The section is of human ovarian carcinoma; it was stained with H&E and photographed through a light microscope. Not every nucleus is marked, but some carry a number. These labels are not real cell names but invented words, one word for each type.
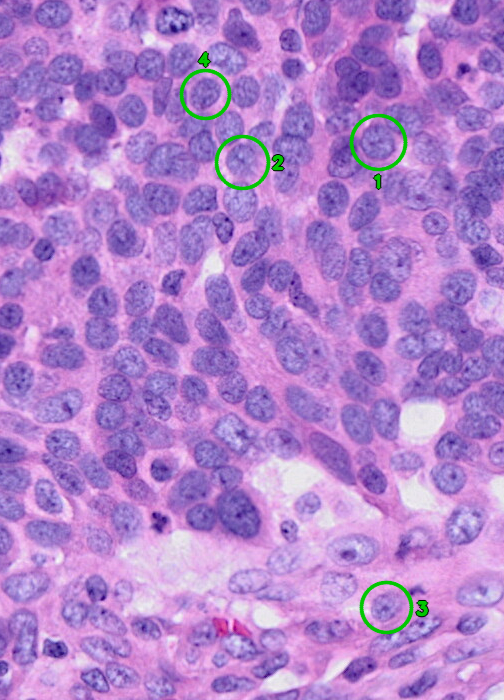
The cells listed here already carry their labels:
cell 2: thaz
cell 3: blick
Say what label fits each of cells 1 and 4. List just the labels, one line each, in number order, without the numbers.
thaz
thaz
